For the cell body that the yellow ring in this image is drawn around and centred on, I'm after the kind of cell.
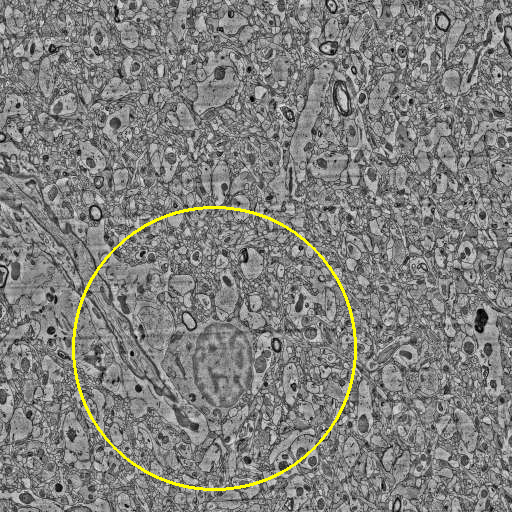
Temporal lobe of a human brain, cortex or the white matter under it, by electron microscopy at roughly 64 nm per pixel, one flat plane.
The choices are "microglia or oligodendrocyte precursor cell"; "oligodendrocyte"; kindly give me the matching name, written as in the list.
oligodendrocyte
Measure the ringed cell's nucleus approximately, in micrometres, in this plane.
The nucleus is approximately 5 micrometers long by 4 micrometers wide in this plane.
